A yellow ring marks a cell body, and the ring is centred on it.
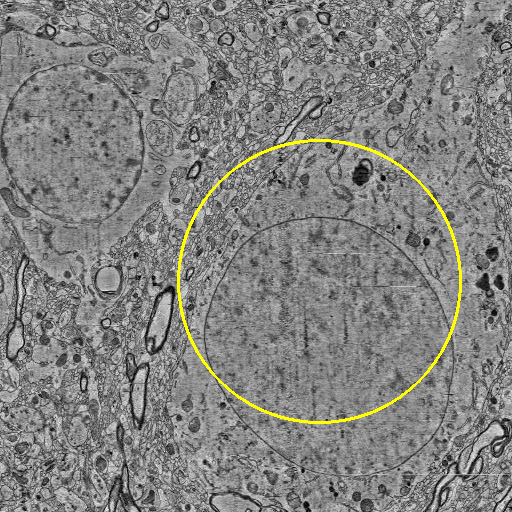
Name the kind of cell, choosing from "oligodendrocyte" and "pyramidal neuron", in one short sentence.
The marked cell body belongs to a pyramidal neuron.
